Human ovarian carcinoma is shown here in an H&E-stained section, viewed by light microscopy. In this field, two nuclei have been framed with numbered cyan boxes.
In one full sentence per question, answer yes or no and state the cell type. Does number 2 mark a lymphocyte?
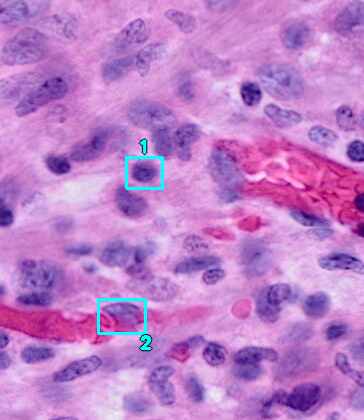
No, the cell identified by number 2 is an endothelial cell, not a lymphocyte.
